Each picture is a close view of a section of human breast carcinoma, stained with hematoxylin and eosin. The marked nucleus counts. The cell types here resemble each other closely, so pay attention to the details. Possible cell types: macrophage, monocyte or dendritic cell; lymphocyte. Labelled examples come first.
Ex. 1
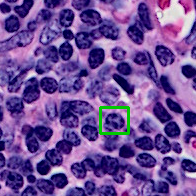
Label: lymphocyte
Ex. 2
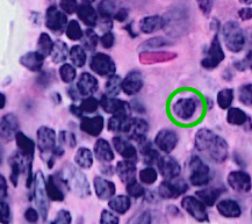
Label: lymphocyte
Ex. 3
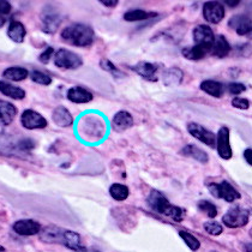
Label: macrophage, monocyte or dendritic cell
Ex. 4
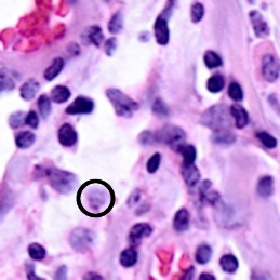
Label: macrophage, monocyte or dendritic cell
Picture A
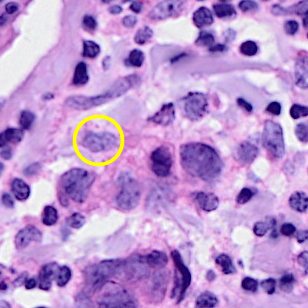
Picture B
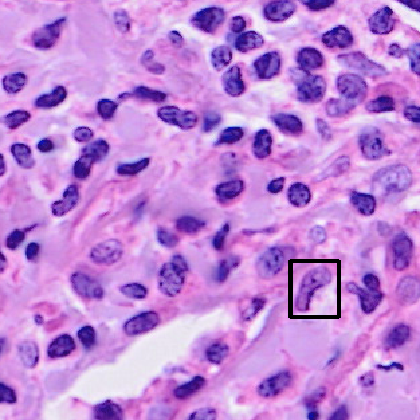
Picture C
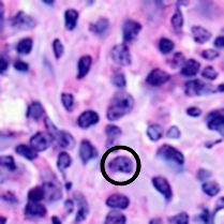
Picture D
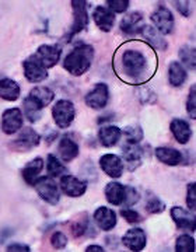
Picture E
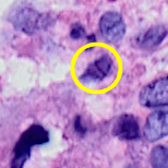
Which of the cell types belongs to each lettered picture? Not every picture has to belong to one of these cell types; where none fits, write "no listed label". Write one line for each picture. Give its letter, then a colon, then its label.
A: macrophage, monocyte or dendritic cell
B: macrophage, monocyte or dendritic cell
C: lymphocyte
D: lymphocyte
E: macrophage, monocyte or dendritic cell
